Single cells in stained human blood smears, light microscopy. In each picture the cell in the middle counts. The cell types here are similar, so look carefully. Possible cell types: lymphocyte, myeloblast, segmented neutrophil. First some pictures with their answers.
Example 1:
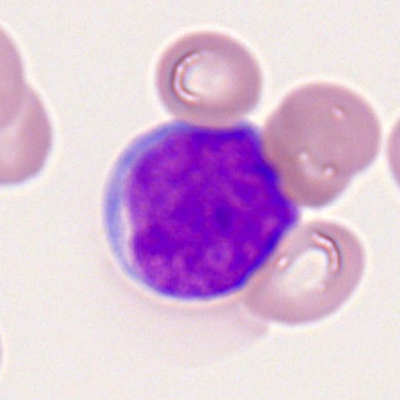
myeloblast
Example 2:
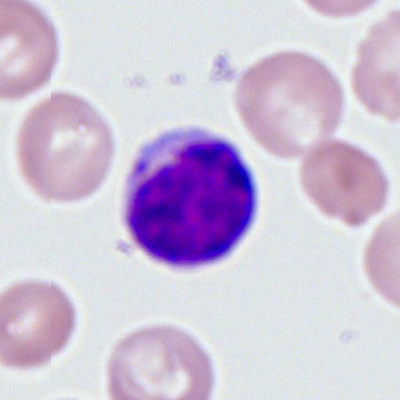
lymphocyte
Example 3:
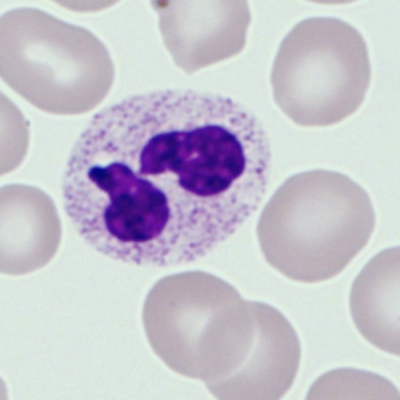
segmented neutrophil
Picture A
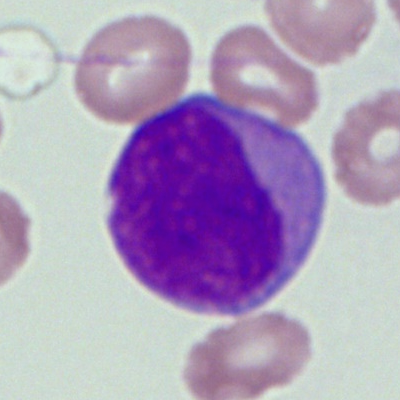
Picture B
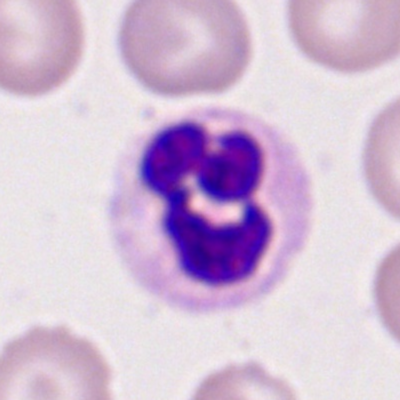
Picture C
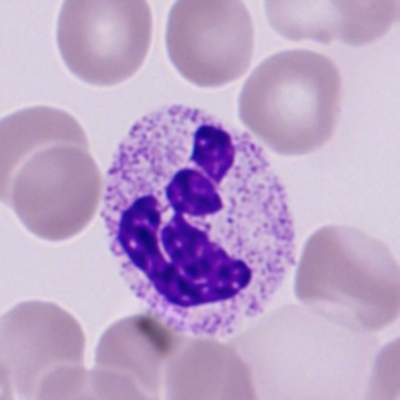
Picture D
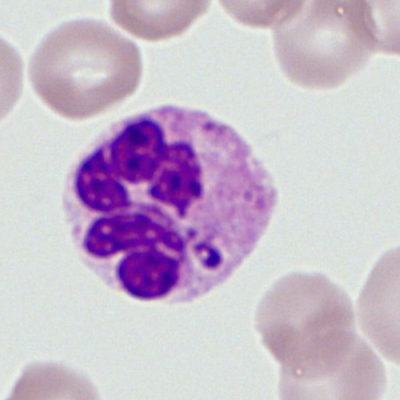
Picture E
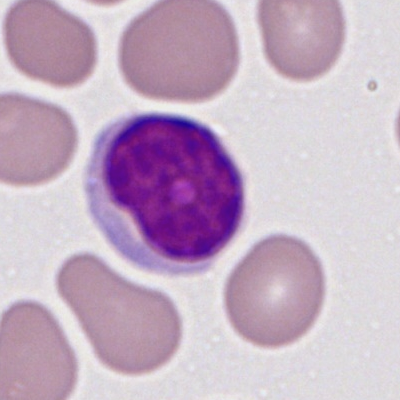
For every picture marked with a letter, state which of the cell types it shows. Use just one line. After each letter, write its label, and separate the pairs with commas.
A myeloblast, B segmented neutrophil, C segmented neutrophil, D segmented neutrophil, E lymphocyte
